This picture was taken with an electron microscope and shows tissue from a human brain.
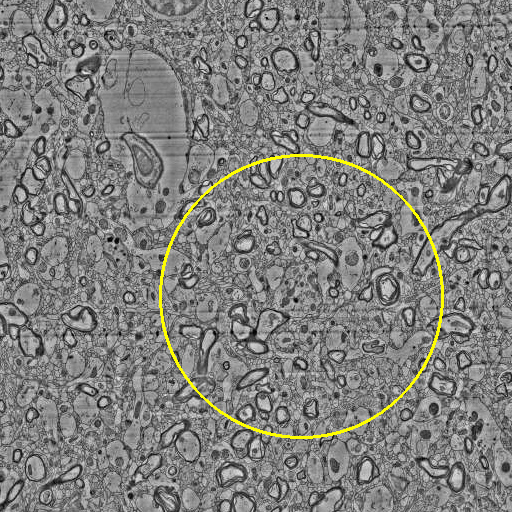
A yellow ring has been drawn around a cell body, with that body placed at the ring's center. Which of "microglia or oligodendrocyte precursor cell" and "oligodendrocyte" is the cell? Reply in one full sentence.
In this picture, a microglial cell or oligodendrocyte precursor cell is the cell at the center of the yellow ring.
